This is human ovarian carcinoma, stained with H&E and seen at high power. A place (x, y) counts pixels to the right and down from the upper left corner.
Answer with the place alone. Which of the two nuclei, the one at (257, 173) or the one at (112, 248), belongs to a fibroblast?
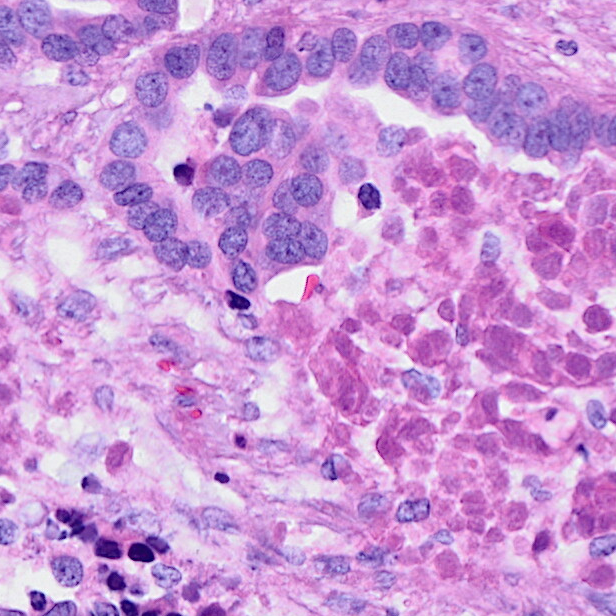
(112, 248)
